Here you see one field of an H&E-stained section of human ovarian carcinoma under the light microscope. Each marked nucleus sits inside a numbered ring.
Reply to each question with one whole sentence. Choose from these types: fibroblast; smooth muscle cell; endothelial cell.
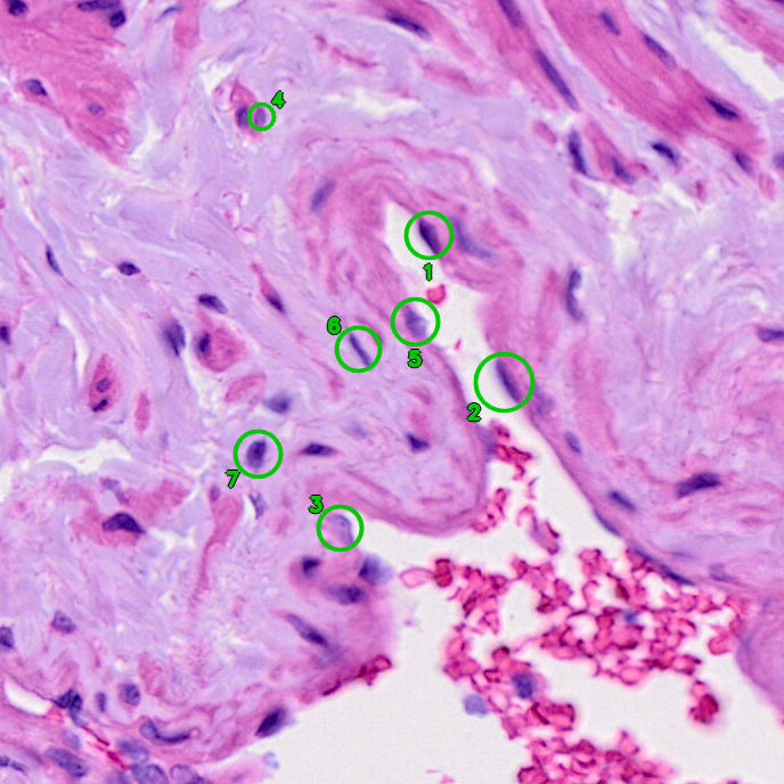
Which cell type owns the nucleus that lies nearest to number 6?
Number 6 lies closest to the nucleus of an endothelial cell.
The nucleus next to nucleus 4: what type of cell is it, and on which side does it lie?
The nearest one is a smooth muscle cell, found to the left of nucleus 4.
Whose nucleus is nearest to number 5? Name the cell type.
It is a fibroblast whose nucleus is nearest to number 5.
